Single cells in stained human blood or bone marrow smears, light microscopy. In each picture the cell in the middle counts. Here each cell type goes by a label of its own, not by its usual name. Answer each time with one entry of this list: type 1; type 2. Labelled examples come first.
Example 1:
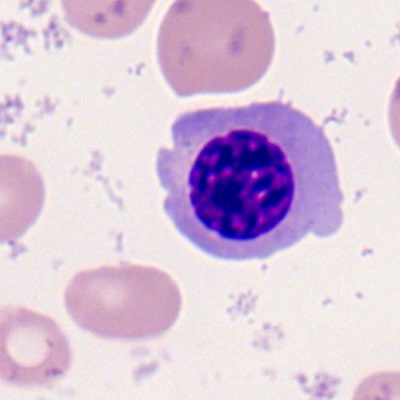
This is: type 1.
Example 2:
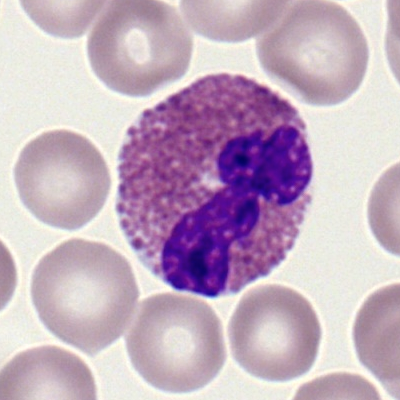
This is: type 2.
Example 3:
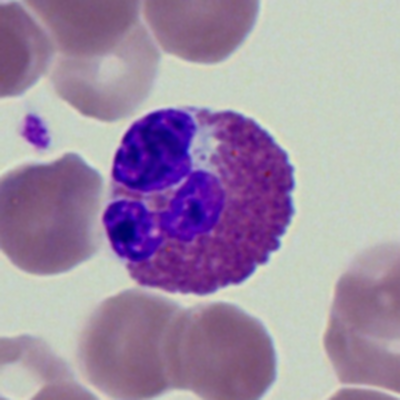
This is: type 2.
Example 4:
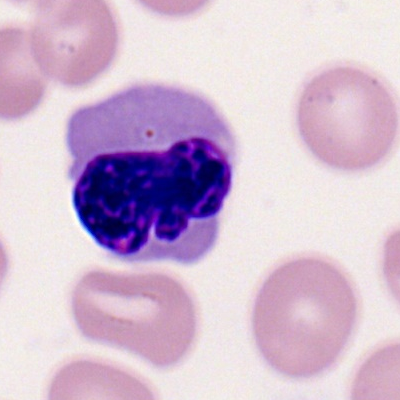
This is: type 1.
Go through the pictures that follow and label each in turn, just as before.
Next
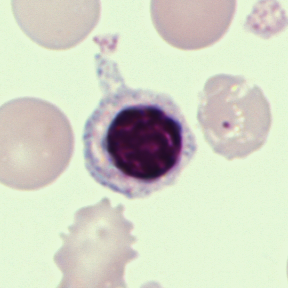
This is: type 1.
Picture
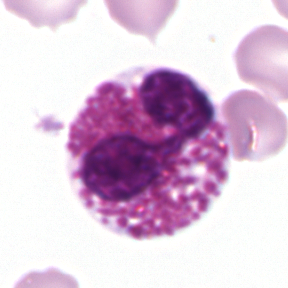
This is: type 2.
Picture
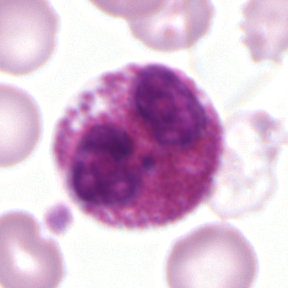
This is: type 2.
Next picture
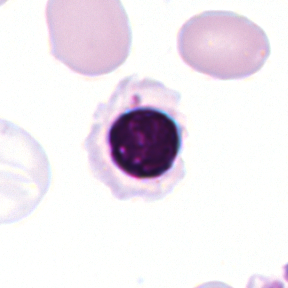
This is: type 1.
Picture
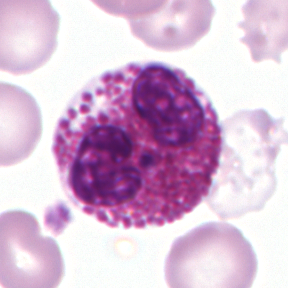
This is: type 2.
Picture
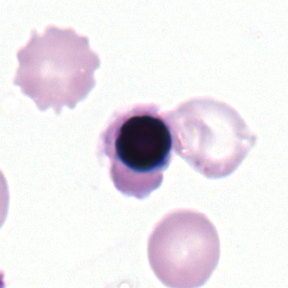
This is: type 1.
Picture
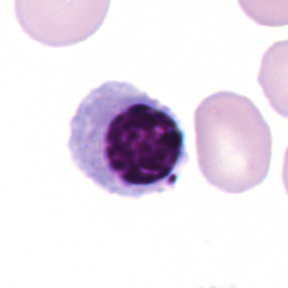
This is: type 1.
